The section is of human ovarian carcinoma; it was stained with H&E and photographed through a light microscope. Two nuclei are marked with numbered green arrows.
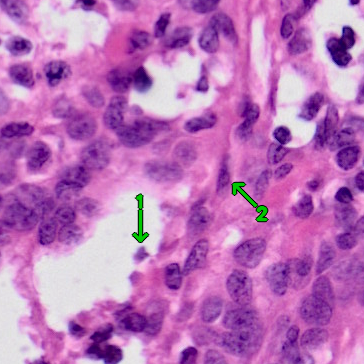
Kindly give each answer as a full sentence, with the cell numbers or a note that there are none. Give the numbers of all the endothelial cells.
Among the numbered cells, cell 2 alone is an endothelial cell.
